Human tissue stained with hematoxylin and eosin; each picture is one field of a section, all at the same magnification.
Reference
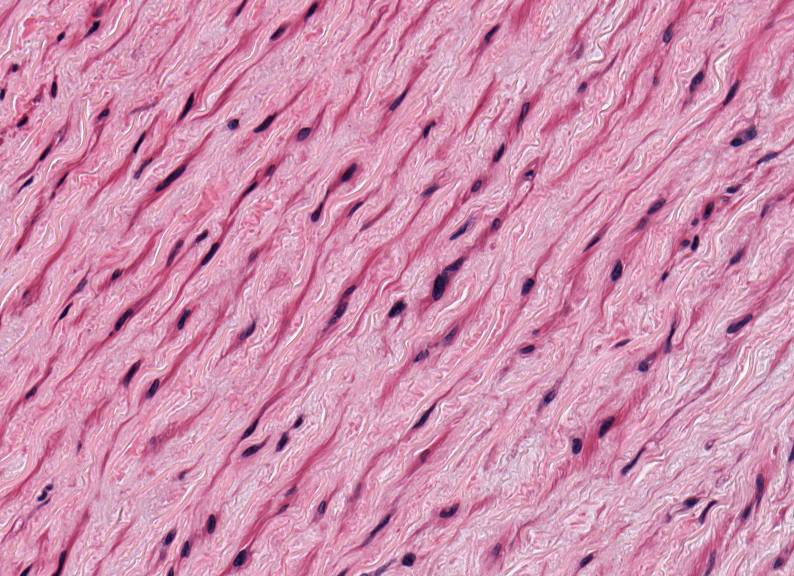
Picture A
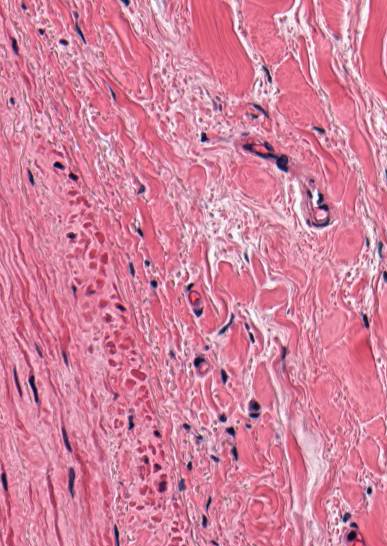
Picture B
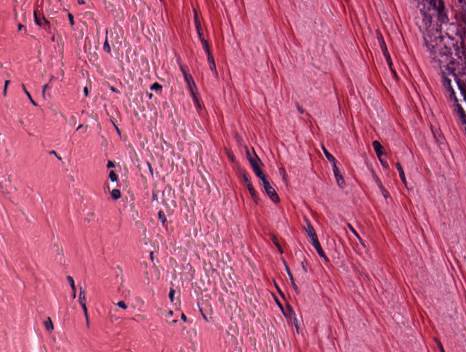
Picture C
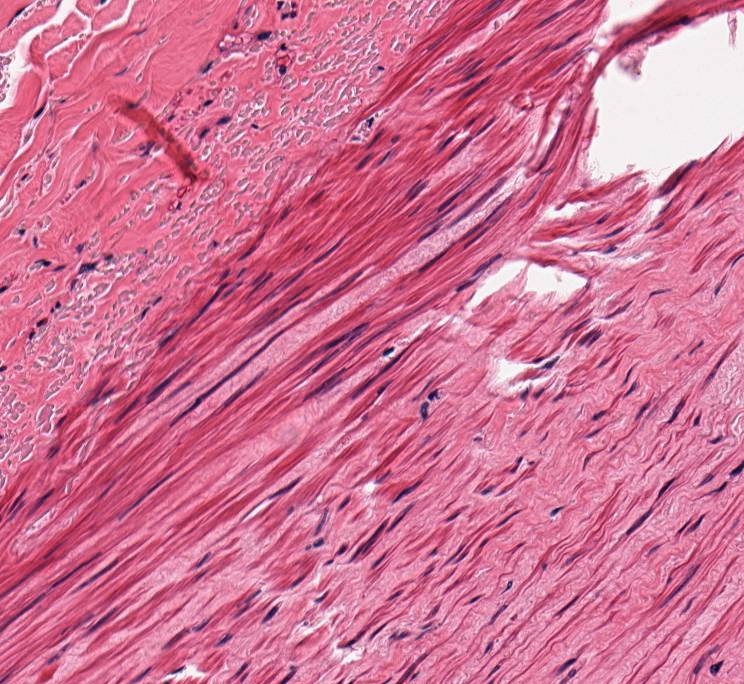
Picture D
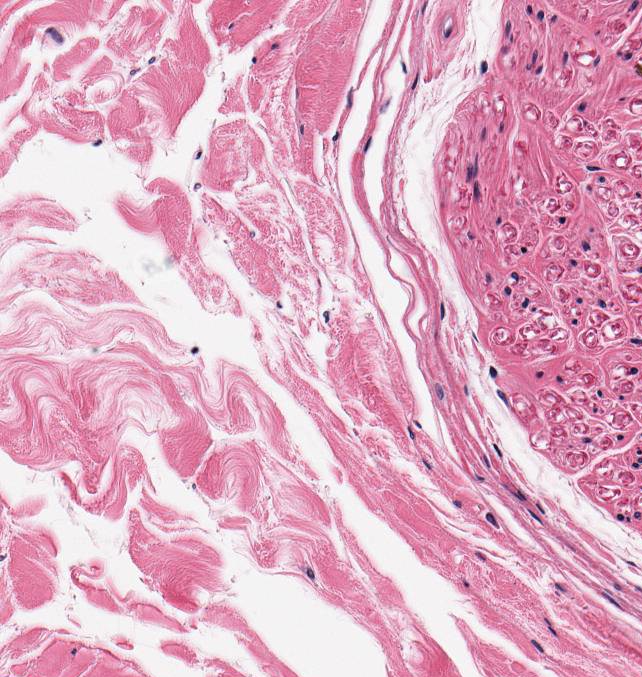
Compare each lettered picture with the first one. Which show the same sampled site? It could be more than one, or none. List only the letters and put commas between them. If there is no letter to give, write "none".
none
